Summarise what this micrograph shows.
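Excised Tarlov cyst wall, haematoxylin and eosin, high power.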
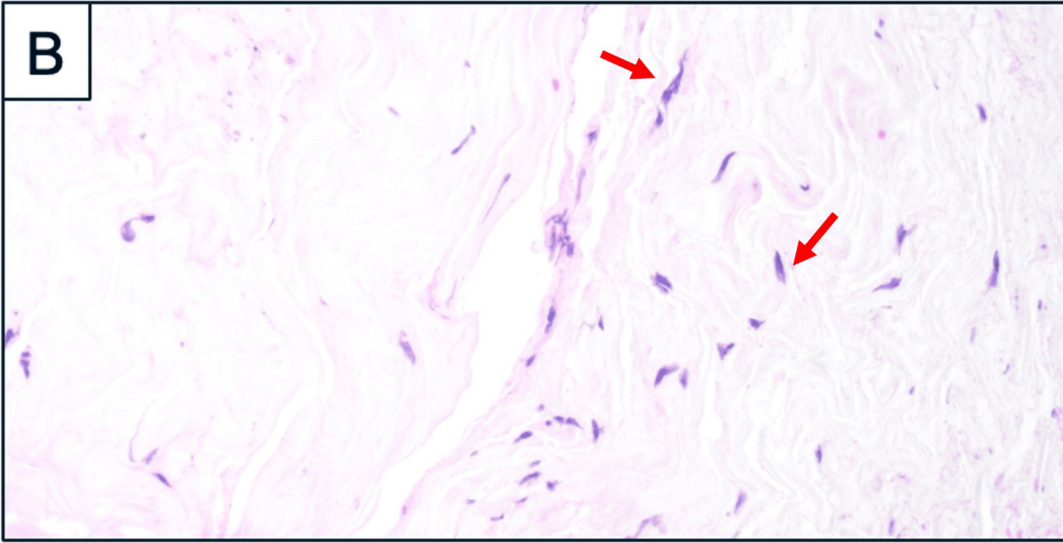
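The background is a loose, wavy, pale pink fibrillar matrix with little cytoplasm distinguishable around the nuclei. The nuclei are elongated, slender and darkly purple, some slightly curved or tapered at the ends. The cells are spaced widely apart, with a few somewhat denser along a narrow cleft running through the field.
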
